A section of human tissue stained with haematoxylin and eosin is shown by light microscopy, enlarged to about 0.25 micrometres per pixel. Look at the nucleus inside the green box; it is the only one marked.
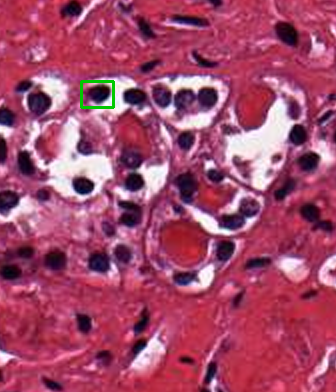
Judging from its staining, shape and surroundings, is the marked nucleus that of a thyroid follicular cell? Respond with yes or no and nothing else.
yes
